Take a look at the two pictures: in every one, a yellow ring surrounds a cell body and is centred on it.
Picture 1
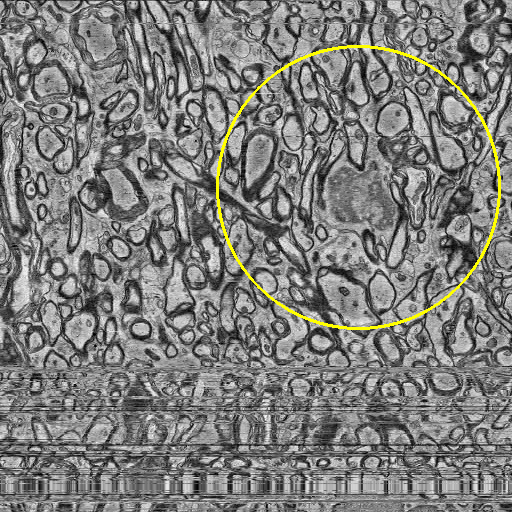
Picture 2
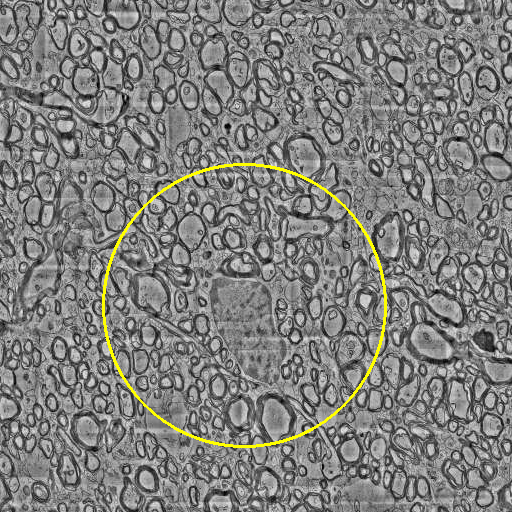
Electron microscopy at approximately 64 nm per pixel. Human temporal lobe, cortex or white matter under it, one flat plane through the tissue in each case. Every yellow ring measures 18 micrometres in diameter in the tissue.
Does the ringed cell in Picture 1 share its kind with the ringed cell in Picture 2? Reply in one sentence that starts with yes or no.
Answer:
No, the two centred cells, one per picture, are of two kinds.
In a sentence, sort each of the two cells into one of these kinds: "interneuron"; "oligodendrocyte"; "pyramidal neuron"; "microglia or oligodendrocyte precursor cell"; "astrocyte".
The first of the two cells is an oligodendrocyte, and the second is a microglial cell or oligodendrocyte precursor cell.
